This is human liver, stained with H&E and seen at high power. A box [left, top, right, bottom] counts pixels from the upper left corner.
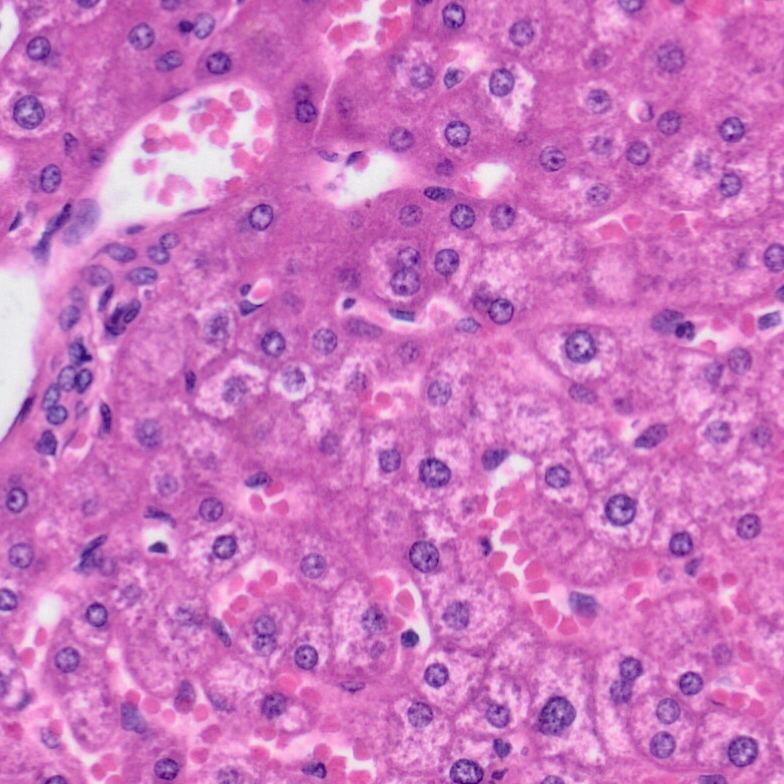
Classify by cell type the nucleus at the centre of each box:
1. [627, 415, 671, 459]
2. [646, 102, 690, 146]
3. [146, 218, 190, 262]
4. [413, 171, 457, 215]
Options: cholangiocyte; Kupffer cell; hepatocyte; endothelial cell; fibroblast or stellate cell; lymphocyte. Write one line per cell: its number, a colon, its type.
1: Kupffer cell
2: hepatocyte
3: cholangiocyte
4: fibroblast or stellate cell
